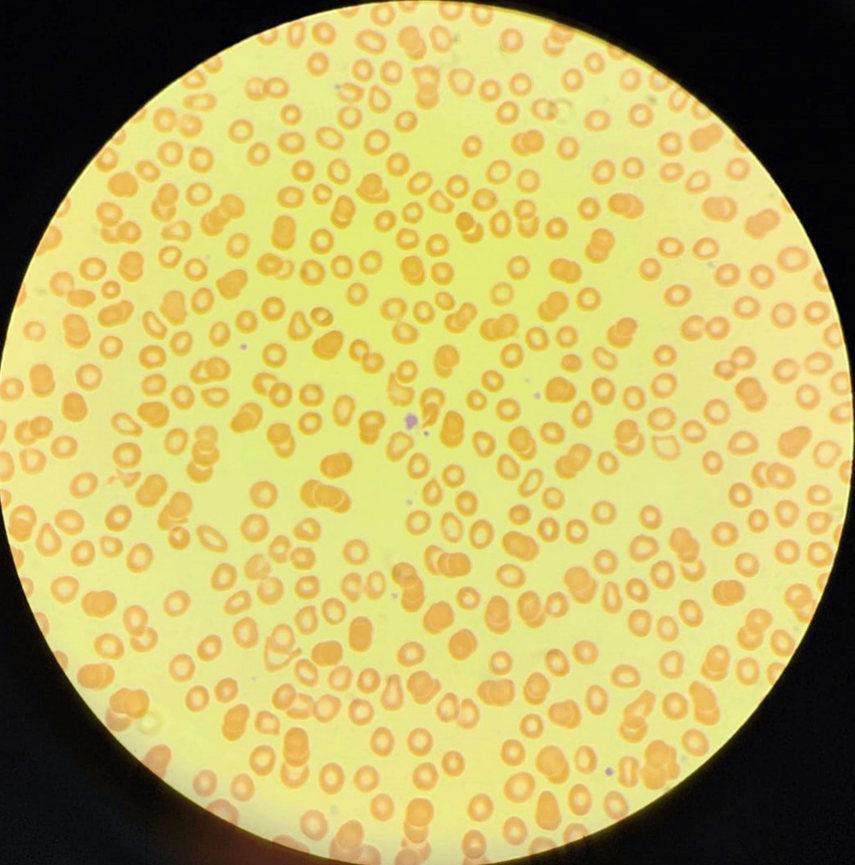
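This is a peripheral blood smear made up almost entirely of red blood cells. They are non-nucleated orange-pink discs, and many of them have a pale centre inside a darker rim. The cells are not uniform. Their size varies, and while many are round, others are oval, elongated or teardrop-shaped, which shows variation in both size and shape. Some cells overlap or lie stacked at the edges of the field. Only a few tiny purple platelets can be found between the red cells, for example near the centre, and none of them are gathered into clumps. No white blood cells appear in this field.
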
